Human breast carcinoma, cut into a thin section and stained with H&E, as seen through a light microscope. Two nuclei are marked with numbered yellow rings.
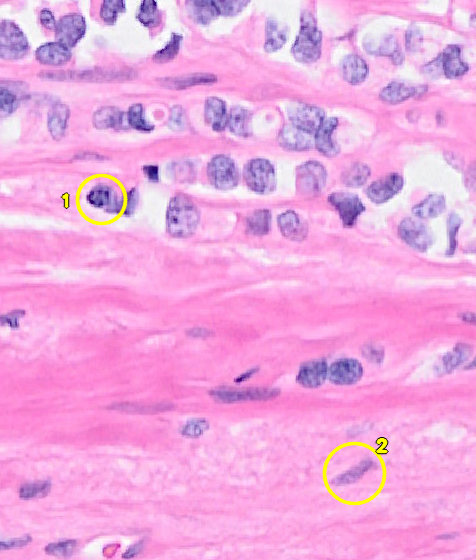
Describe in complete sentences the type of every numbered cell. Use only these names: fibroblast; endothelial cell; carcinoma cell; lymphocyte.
Cell 1 is a lymphocyte. Cell 2 is a fibroblast.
